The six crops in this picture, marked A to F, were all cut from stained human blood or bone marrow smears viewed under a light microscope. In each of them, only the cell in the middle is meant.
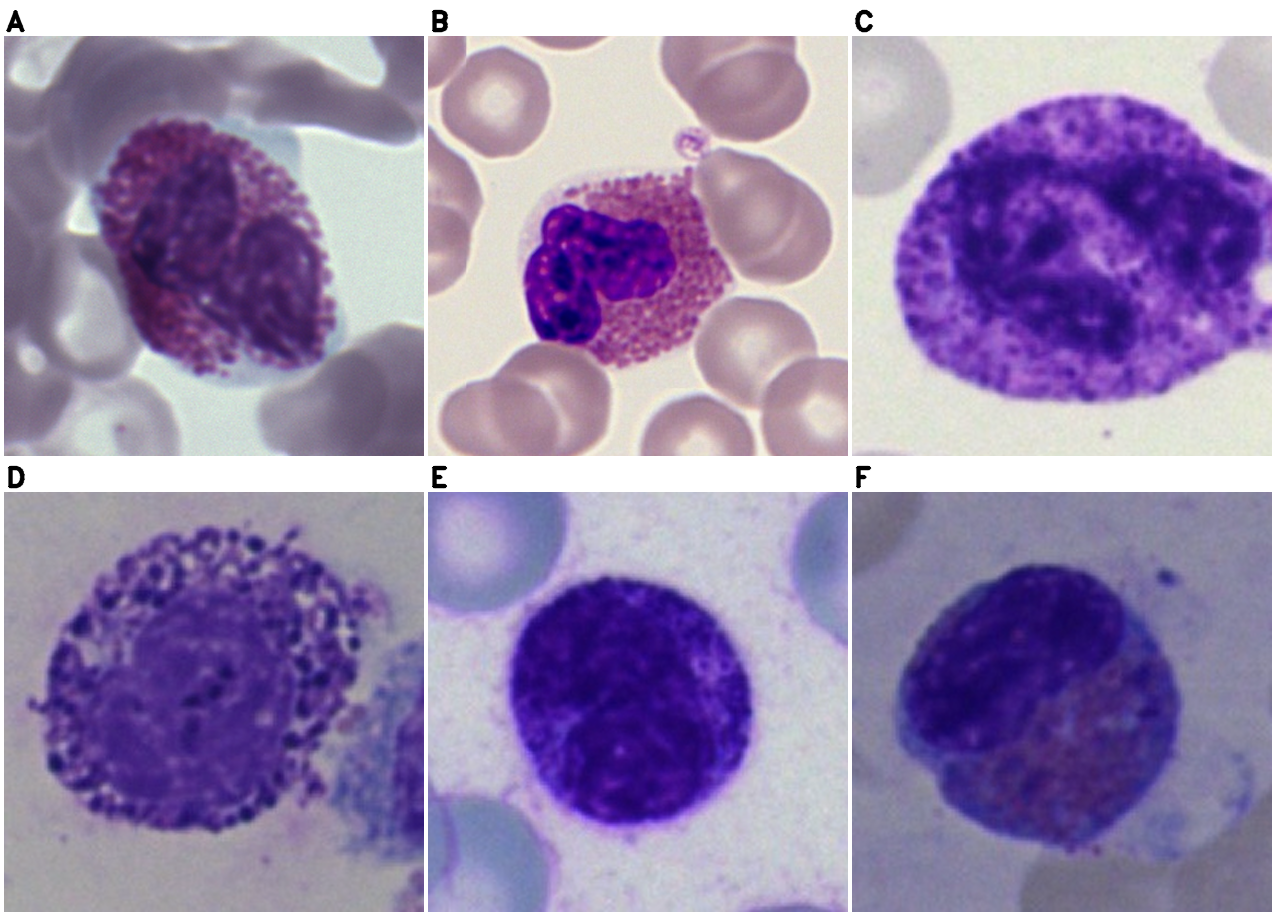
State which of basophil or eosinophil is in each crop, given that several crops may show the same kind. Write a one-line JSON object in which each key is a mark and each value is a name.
{"A": "eosinophil", "B": "eosinophil", "C": "basophil", "D": "basophil", "E": "basophil", "F": "eosinophil"}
